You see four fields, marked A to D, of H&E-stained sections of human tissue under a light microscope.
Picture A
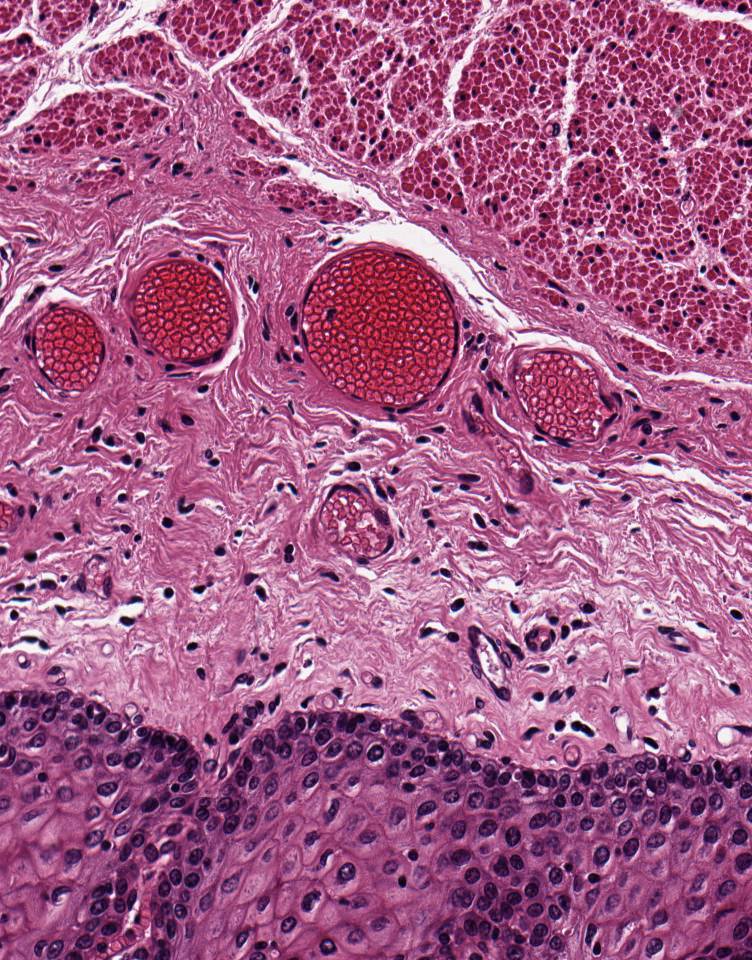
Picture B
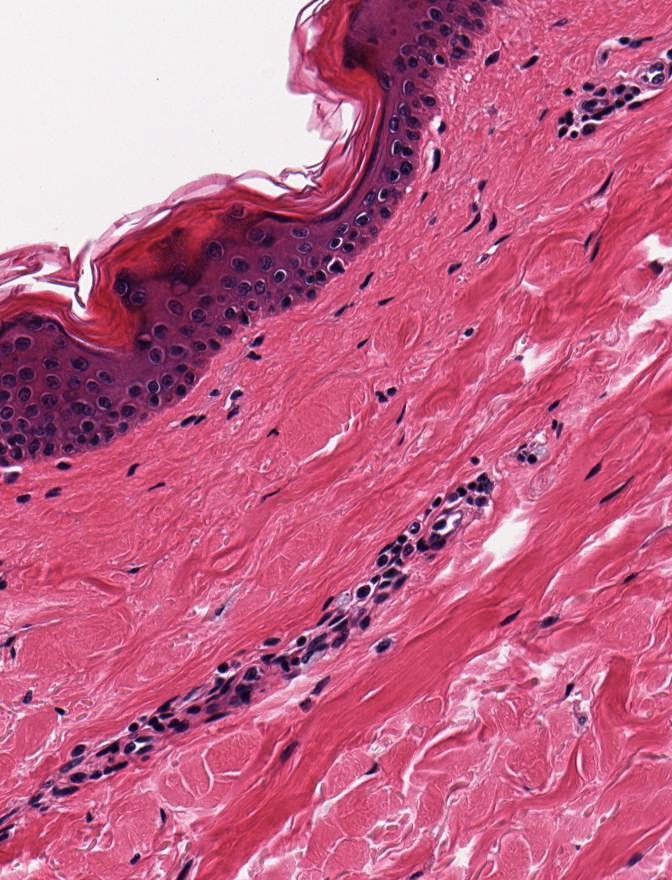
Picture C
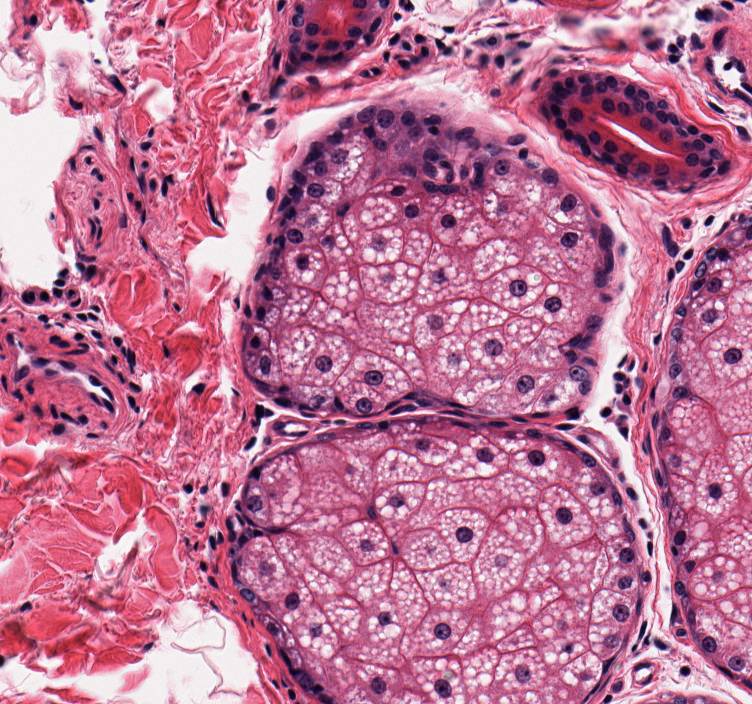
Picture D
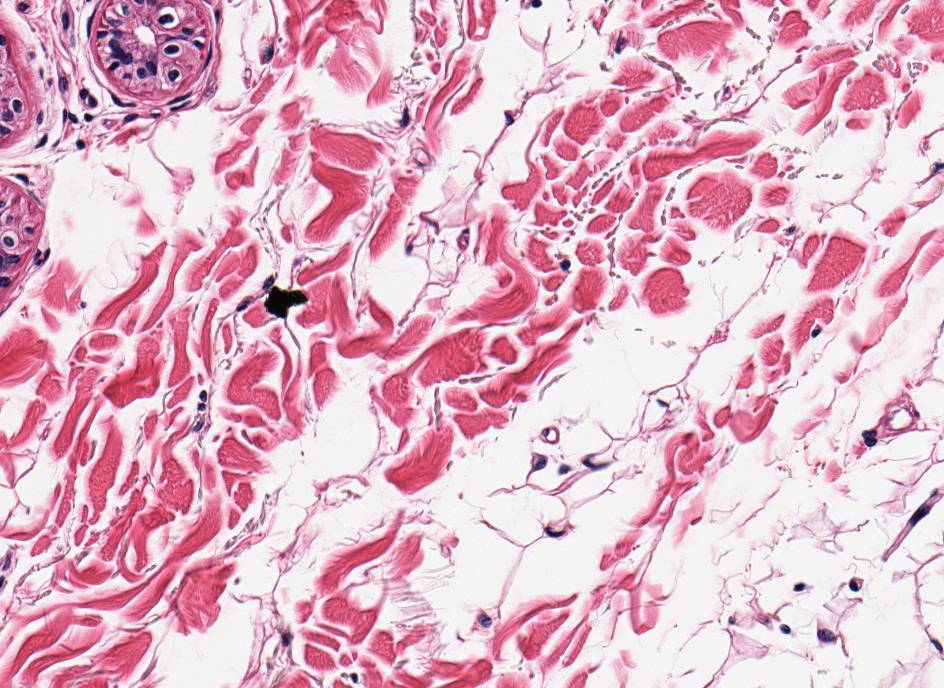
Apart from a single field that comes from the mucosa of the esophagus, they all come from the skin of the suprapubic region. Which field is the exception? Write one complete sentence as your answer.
Picture A is the field that comes from the mucosa of the esophagus.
